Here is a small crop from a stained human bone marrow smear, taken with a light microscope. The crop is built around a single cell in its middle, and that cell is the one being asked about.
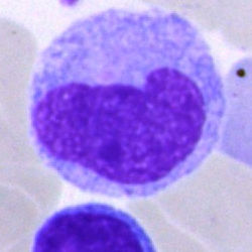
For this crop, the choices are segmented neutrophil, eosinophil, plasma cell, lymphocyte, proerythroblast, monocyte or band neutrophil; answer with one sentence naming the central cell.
The cell sitting right in the middle is a monocyte.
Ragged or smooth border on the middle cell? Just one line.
The border of this cell runs smooth and free of any projections.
